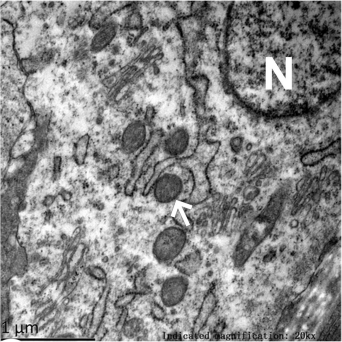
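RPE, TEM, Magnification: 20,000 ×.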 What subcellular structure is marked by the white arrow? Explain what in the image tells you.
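The arrow points to a round dense organelle bounded by a membrane. Several similar small round organelles lie in the cytoplasm beside the nucleus.
Answer: mitochondria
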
